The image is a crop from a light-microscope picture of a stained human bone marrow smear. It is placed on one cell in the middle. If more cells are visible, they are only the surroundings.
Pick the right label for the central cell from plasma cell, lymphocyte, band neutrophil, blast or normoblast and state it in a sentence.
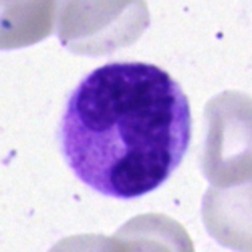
The cell nearest the centre of this crop is a band neutrophil.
